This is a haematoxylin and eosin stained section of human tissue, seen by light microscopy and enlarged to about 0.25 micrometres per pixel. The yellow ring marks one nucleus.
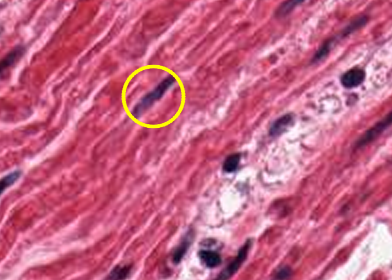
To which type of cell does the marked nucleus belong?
smooth muscle cell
